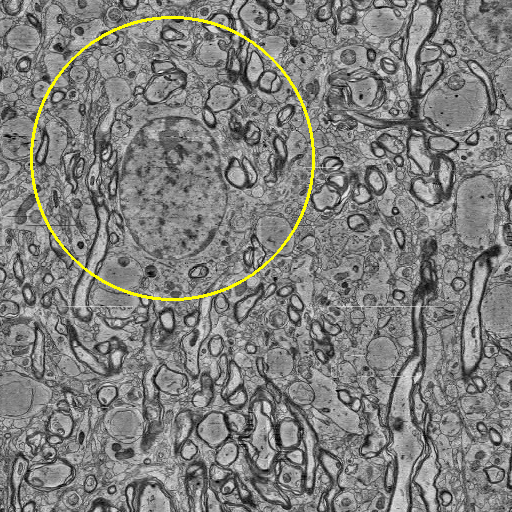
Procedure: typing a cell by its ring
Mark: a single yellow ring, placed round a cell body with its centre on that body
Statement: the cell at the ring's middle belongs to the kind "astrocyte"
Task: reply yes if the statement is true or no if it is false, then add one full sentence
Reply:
No, this is false: the cell at the ring's centre in the picture belongs to some other kind.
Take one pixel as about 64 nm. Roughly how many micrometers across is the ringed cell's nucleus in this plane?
Approximately 10 by 7 micrometers in this plane.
